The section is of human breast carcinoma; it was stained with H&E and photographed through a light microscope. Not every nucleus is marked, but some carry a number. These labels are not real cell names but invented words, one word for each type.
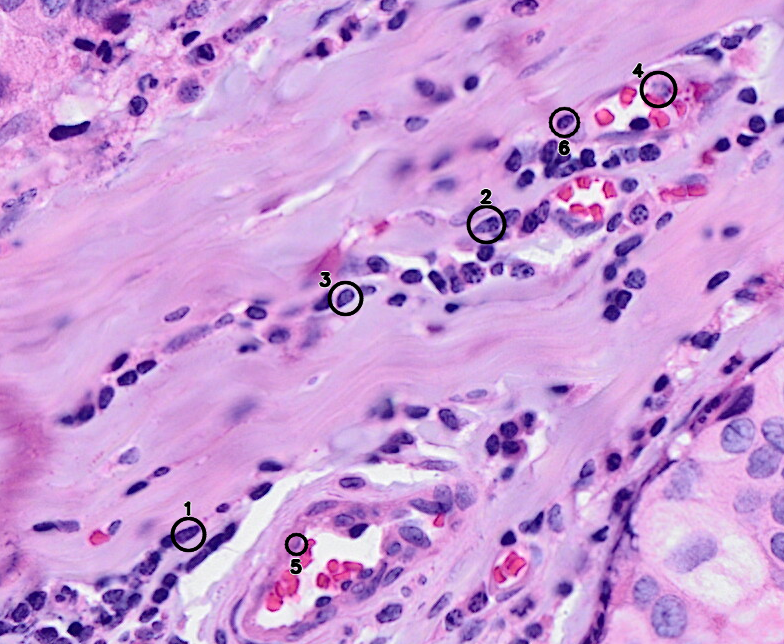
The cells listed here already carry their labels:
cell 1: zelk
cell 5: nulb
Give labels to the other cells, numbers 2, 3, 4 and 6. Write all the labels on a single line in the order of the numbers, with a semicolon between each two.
zelk; zelk; nulb; zelk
